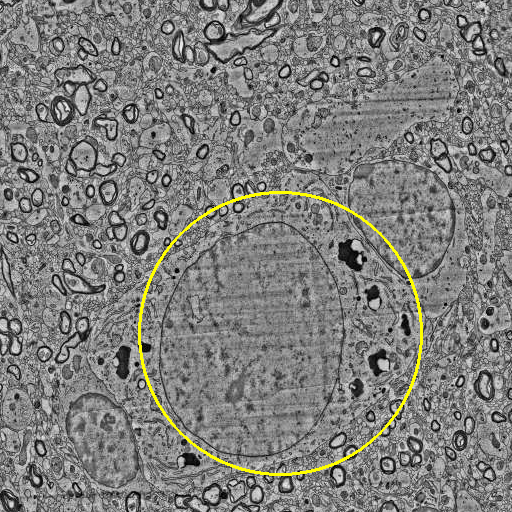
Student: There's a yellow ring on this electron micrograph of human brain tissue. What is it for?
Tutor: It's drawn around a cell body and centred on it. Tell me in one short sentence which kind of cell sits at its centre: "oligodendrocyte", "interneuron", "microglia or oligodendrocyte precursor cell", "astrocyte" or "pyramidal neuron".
The cell at the centre of the ring is a pyramidal neuron.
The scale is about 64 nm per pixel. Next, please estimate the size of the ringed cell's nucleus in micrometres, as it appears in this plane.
The nucleus appears roughly 15 by 12 micrometres in this plane.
